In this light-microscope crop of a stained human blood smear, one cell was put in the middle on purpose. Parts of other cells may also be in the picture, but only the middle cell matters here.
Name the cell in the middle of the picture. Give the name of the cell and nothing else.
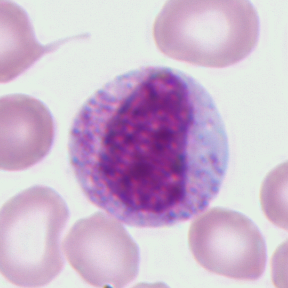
metamyelocyte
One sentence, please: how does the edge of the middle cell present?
You can see a smooth boundary, with no projections sticking out.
